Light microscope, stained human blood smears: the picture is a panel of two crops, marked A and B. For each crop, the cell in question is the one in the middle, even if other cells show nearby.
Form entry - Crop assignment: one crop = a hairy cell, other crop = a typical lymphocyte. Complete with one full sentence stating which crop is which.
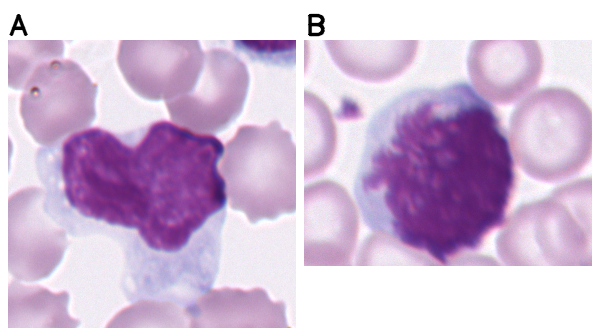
Taken crop by crop, crop A is a hairy cell and crop B is a typical lymphocyte.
